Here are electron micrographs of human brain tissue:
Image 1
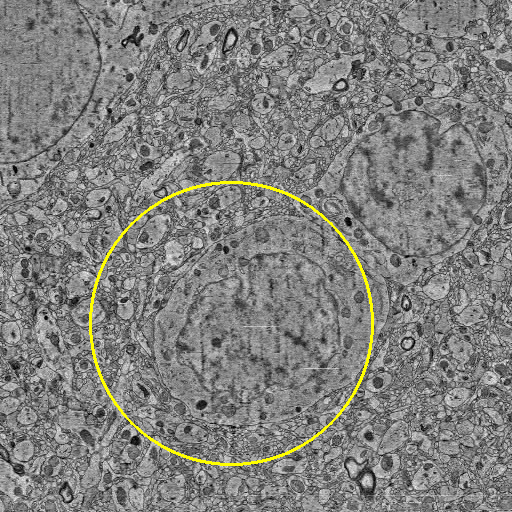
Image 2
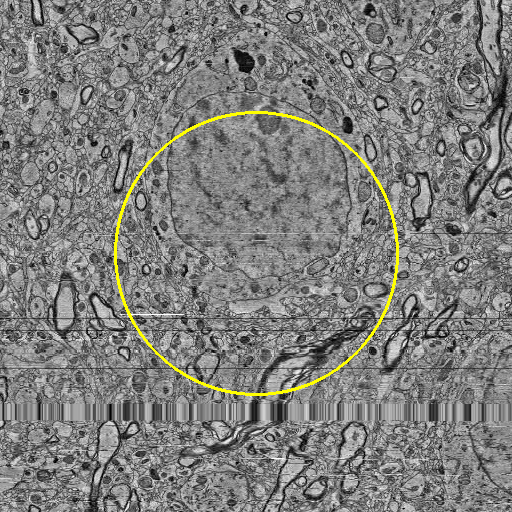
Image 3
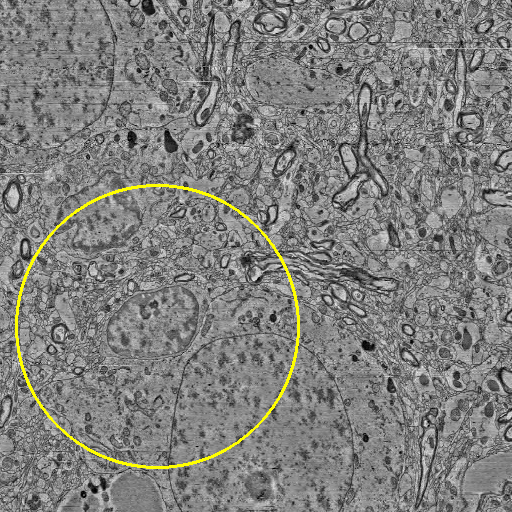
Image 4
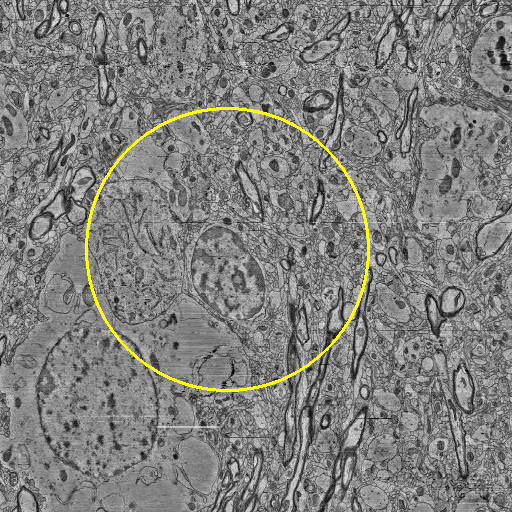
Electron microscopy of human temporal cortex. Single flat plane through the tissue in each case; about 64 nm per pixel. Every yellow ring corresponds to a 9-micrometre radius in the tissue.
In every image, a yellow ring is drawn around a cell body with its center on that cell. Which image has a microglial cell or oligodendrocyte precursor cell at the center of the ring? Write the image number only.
4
